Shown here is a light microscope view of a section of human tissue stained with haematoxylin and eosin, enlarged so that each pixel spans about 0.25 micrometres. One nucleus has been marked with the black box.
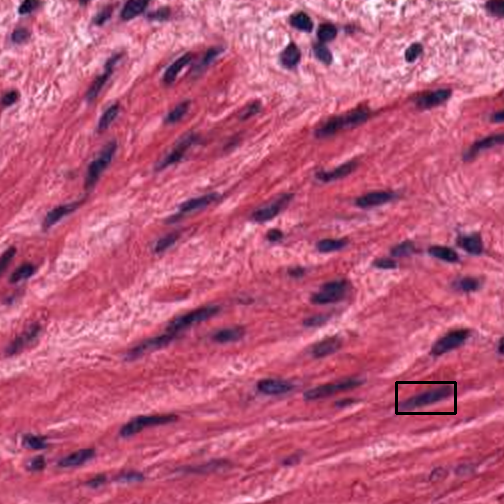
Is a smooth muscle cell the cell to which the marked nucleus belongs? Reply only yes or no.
yes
